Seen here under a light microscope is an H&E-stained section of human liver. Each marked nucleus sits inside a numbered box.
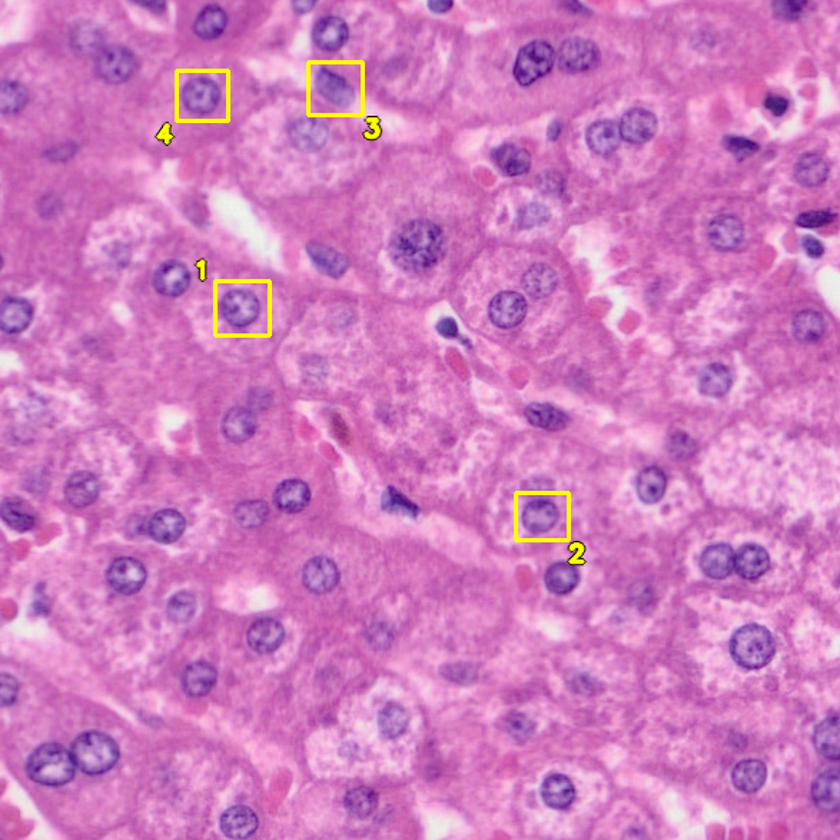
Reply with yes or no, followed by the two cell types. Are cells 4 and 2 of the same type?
Yes, briefly put, cells 4 and 2 are both hepatocytes.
